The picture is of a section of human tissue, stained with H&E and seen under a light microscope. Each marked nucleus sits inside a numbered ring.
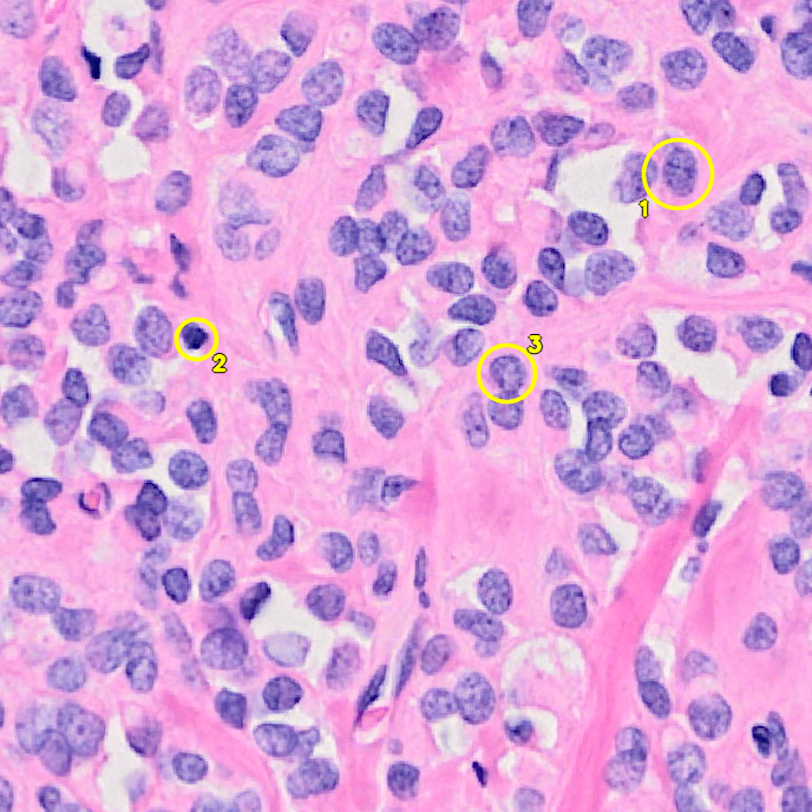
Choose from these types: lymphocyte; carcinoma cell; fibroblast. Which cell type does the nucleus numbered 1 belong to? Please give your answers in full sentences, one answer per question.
In this section, the cell tagged 1 is a carcinoma cell.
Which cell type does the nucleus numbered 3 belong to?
The nucleus with number 3 is that of a carcinoma cell.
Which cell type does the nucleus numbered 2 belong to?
The nucleus labeled 2 belongs to a lymphocyte.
